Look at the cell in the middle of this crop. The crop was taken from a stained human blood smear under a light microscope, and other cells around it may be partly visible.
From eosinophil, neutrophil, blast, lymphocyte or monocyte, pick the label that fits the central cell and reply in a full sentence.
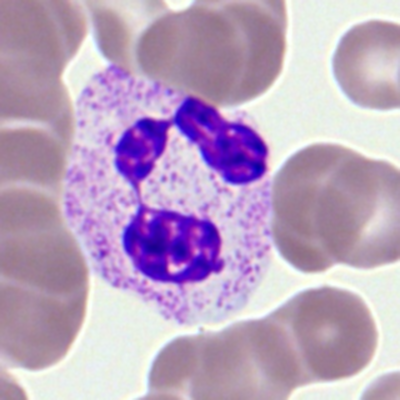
The centrally located cell in the crop is a neutrophil.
